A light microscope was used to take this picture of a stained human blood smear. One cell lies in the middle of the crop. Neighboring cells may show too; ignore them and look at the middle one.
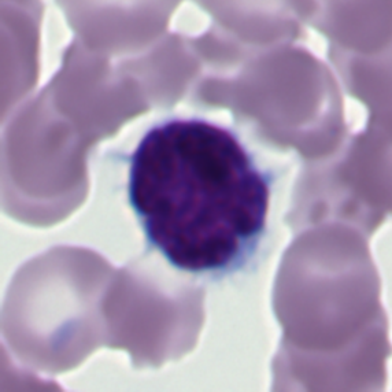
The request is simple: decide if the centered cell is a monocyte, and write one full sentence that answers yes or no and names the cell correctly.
No, the cell in the middle is categorised as a hairy cell, not a monocyte.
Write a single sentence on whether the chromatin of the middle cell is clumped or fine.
What stands out is chromatin that is coarsely clumped.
